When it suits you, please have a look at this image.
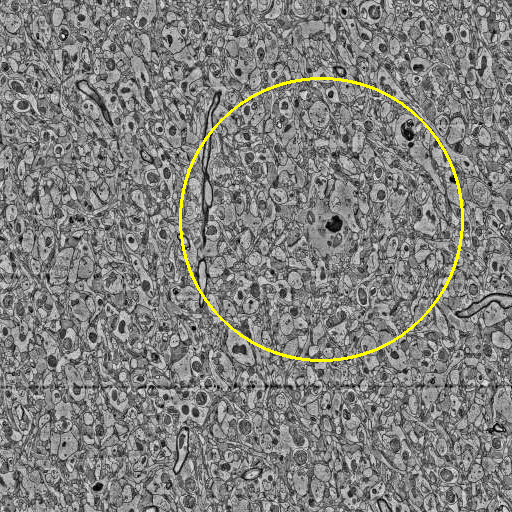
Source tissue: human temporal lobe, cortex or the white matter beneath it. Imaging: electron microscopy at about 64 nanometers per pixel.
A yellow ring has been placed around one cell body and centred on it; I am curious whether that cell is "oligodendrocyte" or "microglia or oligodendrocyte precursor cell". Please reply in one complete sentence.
The ringed cell, an oligodendrocyte, has its body at the centre of the yellow ring.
